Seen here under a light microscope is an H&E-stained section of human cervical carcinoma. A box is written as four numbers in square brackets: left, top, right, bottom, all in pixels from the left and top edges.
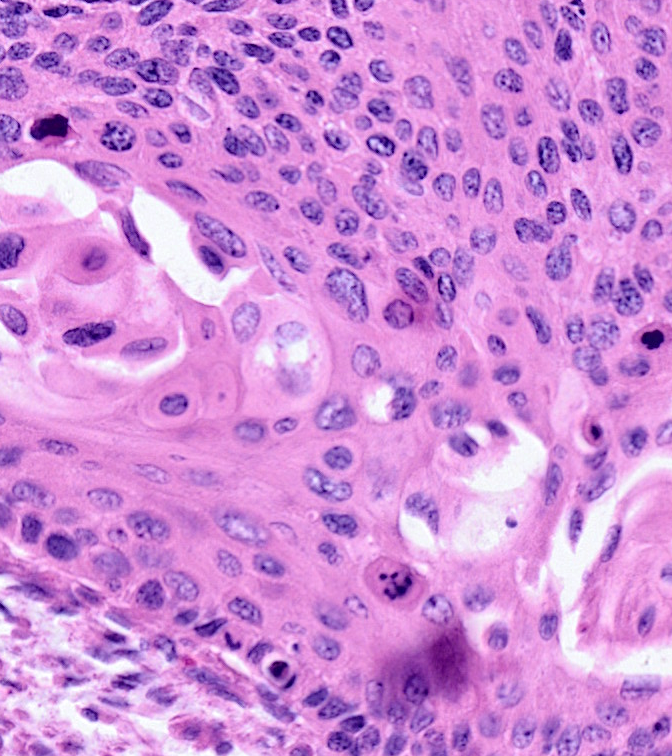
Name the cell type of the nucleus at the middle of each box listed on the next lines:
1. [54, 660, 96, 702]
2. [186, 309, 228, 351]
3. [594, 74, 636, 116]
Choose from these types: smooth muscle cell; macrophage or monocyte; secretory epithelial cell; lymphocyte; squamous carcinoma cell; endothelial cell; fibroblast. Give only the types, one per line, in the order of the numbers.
fibroblast
squamous carcinoma cell
squamous carcinoma cell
